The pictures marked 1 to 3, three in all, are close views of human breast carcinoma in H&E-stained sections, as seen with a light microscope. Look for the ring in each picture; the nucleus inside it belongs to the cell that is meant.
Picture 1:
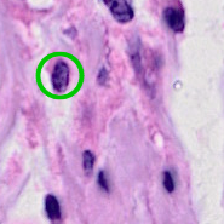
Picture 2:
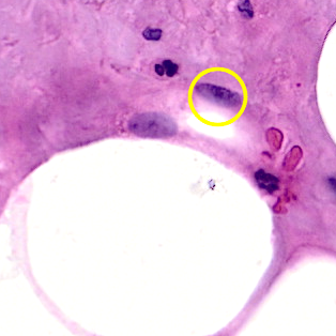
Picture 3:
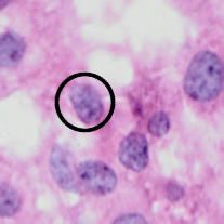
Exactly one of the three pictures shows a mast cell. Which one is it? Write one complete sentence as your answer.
It is picture 1 that shows the mast cell.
